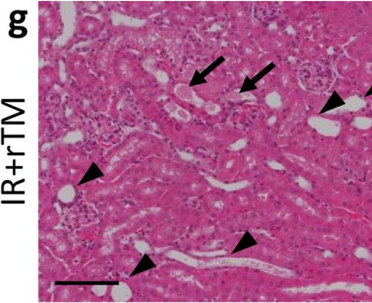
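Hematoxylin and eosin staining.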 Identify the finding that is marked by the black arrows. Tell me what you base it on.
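Arrows point to pale pink homogeneous material plugging tubule lumens. That points to this answer: cast formation.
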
